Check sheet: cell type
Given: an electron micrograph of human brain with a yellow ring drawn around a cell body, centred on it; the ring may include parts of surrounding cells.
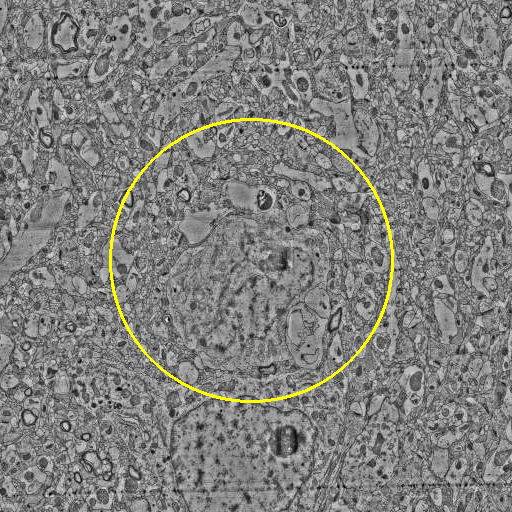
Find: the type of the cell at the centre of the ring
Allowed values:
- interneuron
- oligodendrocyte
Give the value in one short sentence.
Here the ringed cell is an interneuron.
